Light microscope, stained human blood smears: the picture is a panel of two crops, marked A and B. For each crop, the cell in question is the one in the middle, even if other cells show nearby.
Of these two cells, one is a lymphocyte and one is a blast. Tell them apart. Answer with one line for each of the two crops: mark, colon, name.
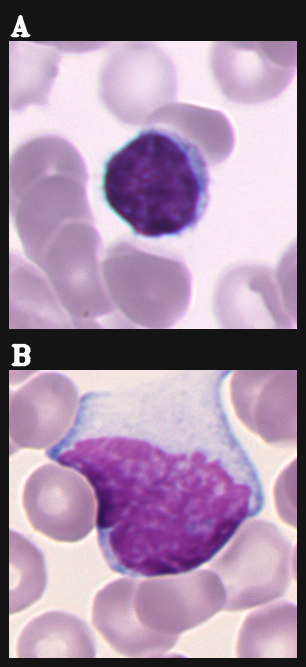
A: lymphocyte
B: blast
